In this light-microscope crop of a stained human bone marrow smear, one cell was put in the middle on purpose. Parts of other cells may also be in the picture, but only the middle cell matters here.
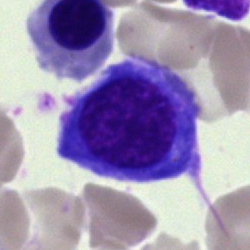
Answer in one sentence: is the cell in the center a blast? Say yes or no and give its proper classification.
No, it is not a blast that lies in the middle but a normoblast.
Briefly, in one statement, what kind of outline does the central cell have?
Ragged or projecting, the border of this cell departs from a smooth contour.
